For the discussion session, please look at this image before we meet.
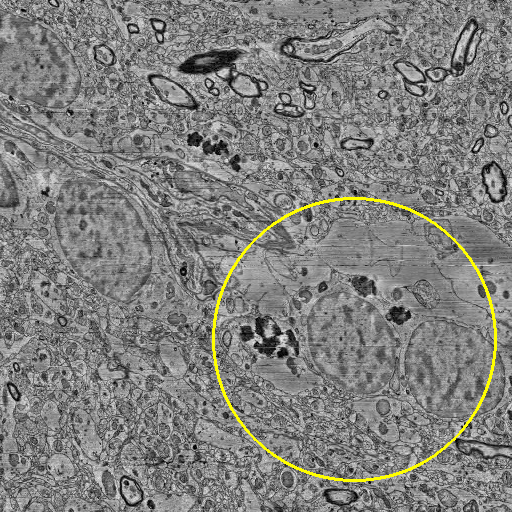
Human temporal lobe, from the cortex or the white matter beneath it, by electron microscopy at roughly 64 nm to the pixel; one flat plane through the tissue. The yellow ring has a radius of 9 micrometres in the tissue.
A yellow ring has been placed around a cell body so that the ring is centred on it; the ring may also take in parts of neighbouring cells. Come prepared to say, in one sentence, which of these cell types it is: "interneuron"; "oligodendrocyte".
The cell centred in the ring is an oligodendrocyte.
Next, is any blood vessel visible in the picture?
Yes.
